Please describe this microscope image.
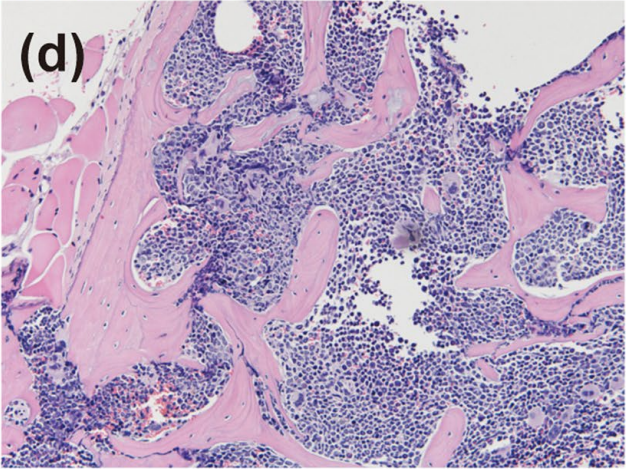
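Irregular, branching pink trabeculae of bone, with small flattened nuclei in lacunae, divide the field into marrow spaces. These spaces are crowded with small round cells with dark purple nuclei and scant cytoplasm, packed densely with little stroma between them. A few clear spaces and a small cluster of red cells lie among them. At the upper left, a thick band of bone borders pale pink, rounded profiles of transversely cut skeletal muscle fibres.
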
